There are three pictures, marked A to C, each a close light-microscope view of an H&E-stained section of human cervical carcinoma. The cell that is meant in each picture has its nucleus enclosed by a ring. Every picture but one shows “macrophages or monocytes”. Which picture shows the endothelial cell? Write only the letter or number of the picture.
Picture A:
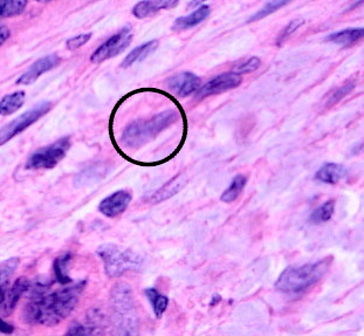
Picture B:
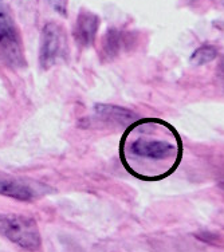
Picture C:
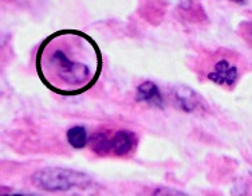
A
